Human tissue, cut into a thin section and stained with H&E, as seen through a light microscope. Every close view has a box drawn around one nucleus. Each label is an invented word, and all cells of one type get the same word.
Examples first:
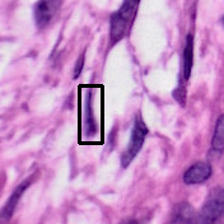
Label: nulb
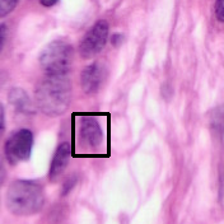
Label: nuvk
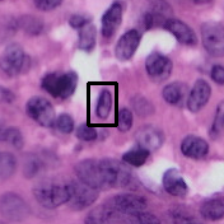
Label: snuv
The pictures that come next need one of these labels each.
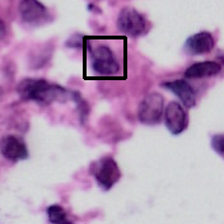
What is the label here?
snuv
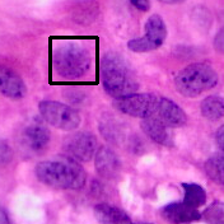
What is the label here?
nuvk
